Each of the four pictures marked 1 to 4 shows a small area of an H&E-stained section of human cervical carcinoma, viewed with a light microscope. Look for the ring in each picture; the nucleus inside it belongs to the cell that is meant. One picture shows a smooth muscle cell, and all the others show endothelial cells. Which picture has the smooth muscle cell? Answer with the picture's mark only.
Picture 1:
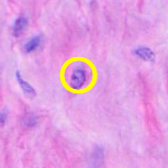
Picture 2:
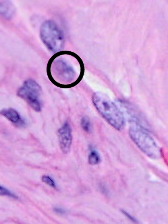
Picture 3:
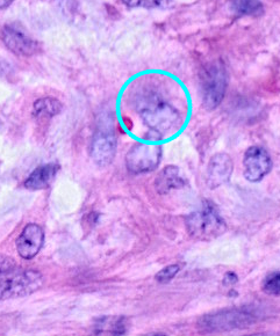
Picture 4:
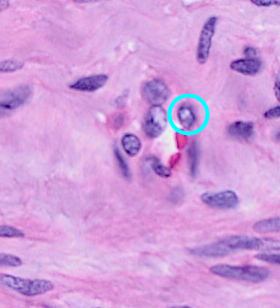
1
